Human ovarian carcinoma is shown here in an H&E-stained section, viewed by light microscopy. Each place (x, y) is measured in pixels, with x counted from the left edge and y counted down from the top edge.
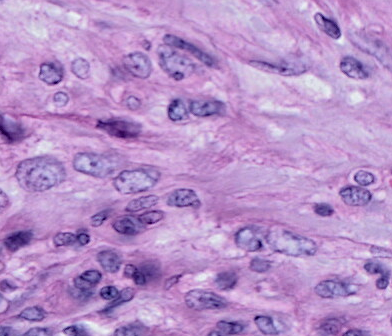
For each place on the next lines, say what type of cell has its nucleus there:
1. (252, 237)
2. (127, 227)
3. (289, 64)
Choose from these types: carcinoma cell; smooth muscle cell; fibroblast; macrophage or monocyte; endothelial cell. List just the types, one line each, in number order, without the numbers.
fibroblast
endothelial cell
fibroblast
